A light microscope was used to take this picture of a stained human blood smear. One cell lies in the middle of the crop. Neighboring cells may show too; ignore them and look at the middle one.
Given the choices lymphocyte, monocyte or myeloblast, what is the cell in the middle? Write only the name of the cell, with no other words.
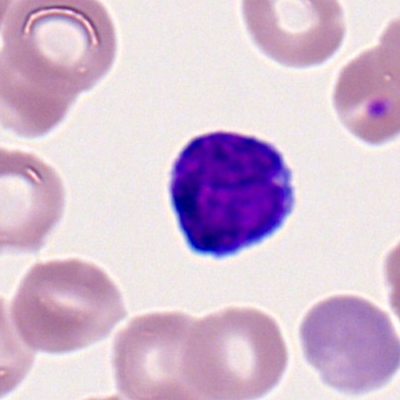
lymphocyte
